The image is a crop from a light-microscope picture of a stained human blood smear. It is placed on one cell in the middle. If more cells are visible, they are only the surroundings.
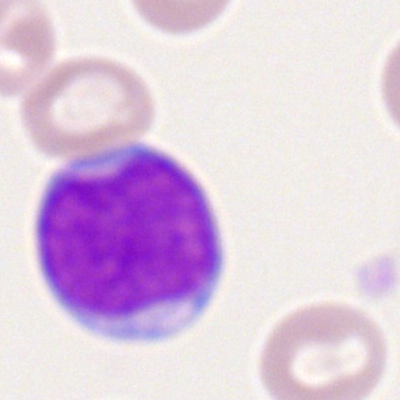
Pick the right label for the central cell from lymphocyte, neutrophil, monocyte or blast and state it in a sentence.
In short, the cell at the center is a blast.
